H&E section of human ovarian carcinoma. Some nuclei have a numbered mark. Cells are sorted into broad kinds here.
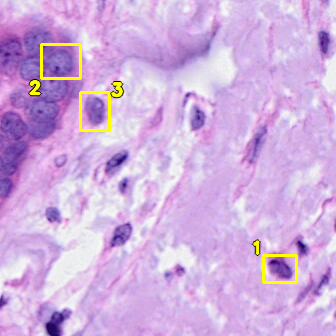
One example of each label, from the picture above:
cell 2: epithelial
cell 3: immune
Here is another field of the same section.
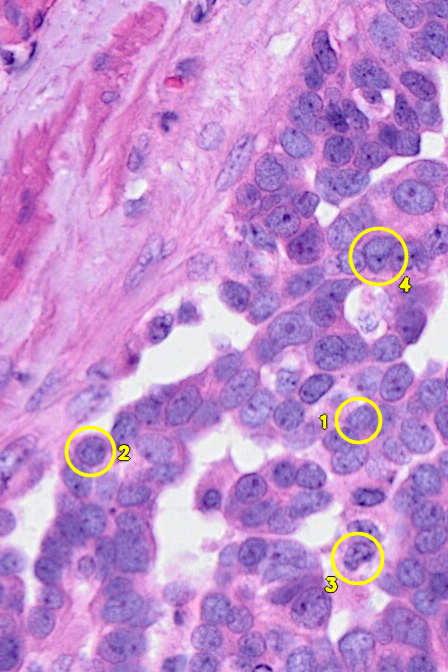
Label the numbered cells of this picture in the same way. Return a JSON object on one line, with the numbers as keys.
{"1": "epithelial", "2": "epithelial", "3": "immune", "4": "epithelial"}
